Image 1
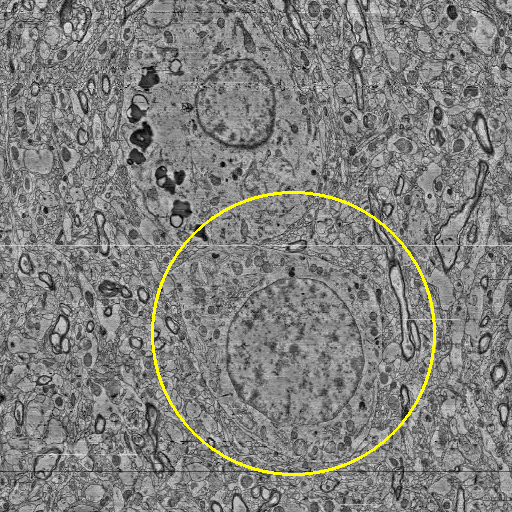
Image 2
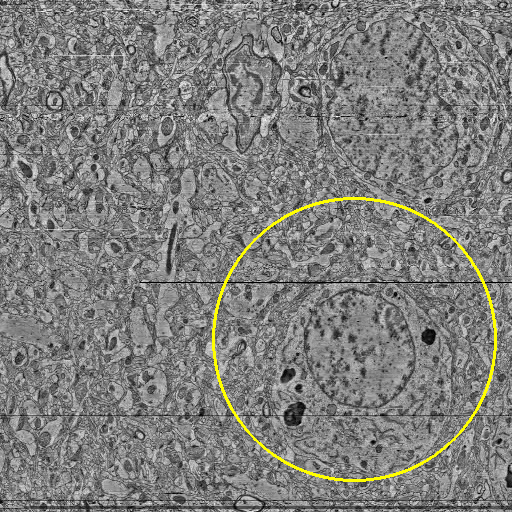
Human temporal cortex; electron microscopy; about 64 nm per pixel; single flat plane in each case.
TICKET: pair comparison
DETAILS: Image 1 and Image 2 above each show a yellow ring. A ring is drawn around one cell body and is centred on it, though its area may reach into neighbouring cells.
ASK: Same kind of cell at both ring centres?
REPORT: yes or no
no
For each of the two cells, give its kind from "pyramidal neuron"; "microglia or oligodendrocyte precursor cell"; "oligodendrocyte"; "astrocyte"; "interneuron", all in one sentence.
The first picture has an interneuron in its ring, the second has a pyramidal neuron.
